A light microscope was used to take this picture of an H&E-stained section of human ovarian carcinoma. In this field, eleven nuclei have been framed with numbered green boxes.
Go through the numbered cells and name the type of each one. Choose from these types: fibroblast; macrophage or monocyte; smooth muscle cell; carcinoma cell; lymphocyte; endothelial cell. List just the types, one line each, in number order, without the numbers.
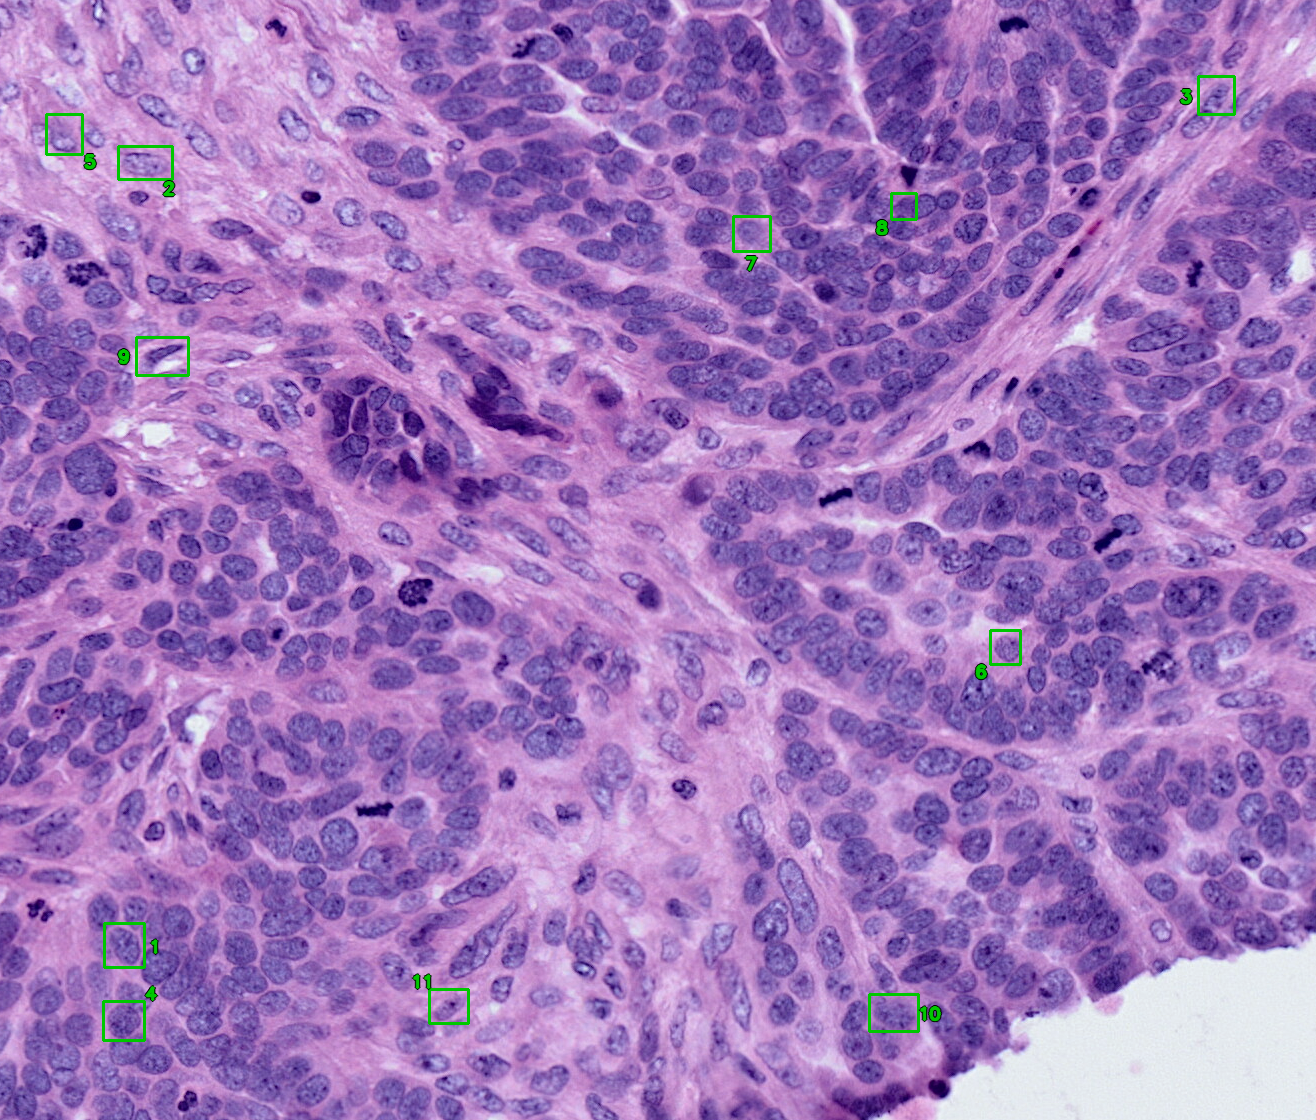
carcinoma cell
fibroblast
fibroblast
carcinoma cell
fibroblast
carcinoma cell
carcinoma cell
carcinoma cell
fibroblast
carcinoma cell
fibroblast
